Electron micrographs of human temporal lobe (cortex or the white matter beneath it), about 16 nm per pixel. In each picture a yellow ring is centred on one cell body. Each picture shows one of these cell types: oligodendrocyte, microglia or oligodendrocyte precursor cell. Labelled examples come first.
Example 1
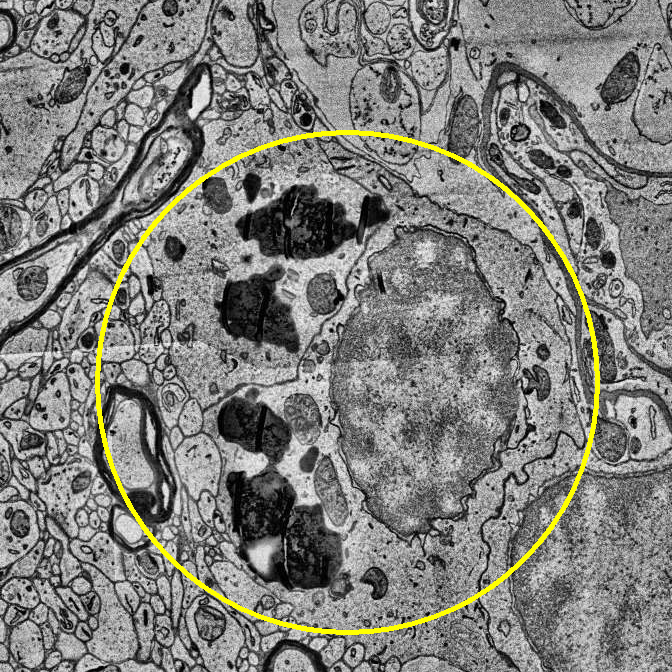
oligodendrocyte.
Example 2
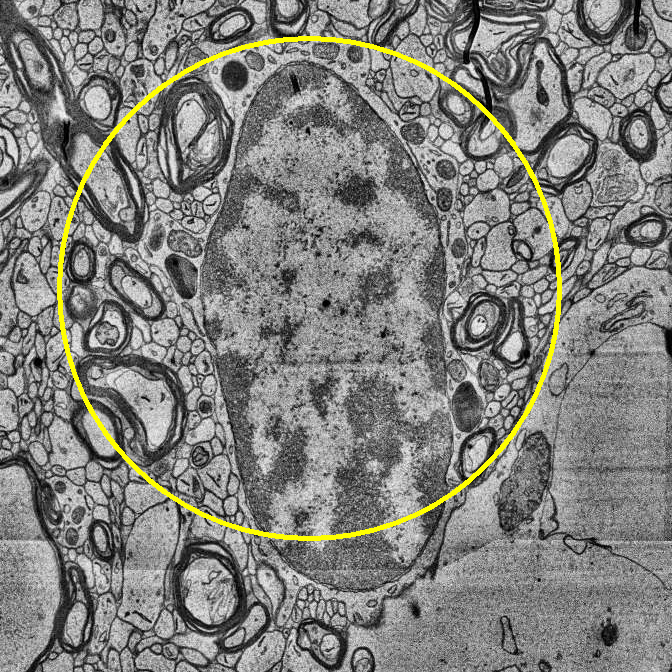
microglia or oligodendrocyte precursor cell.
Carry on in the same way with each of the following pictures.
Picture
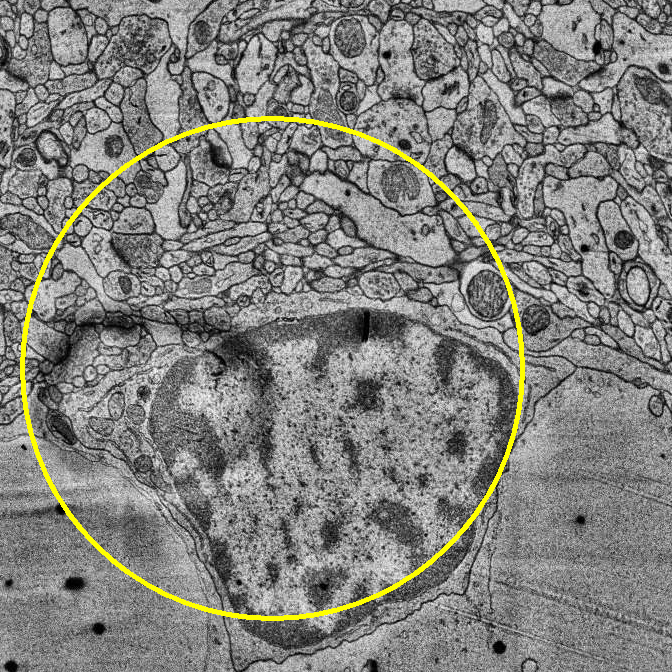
microglia or oligodendrocyte precursor cell.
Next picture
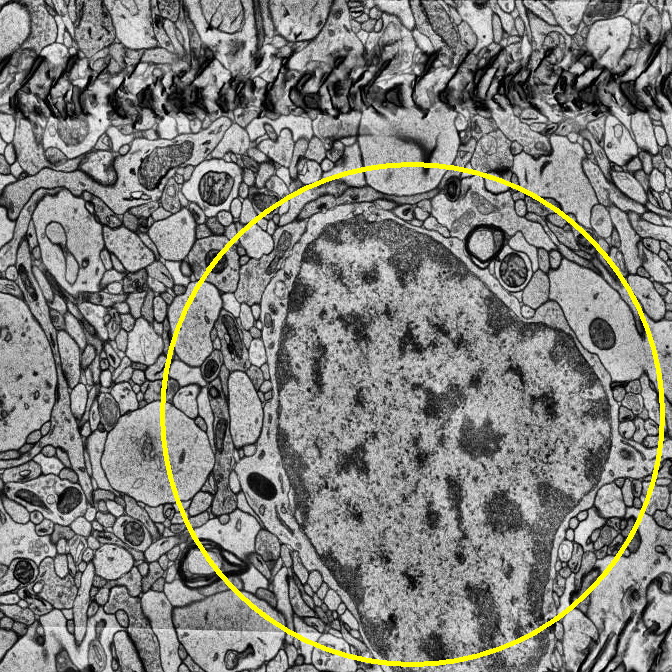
microglia or oligodendrocyte precursor cell.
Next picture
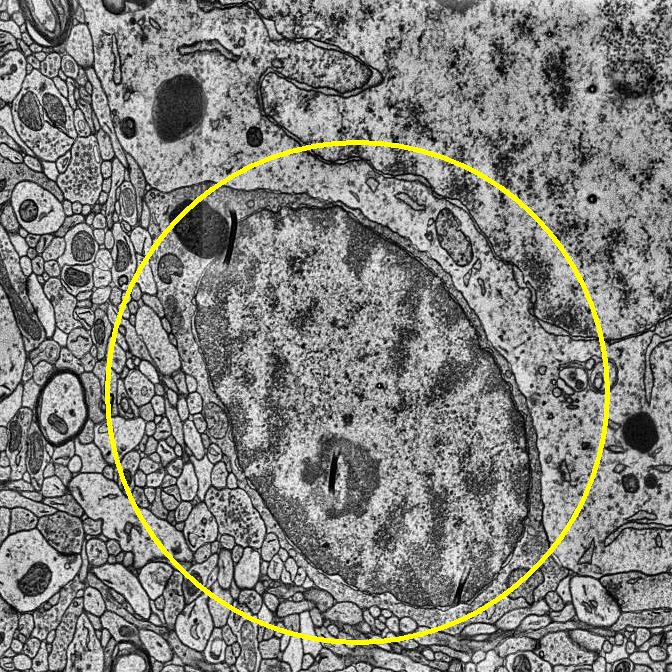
oligodendrocyte.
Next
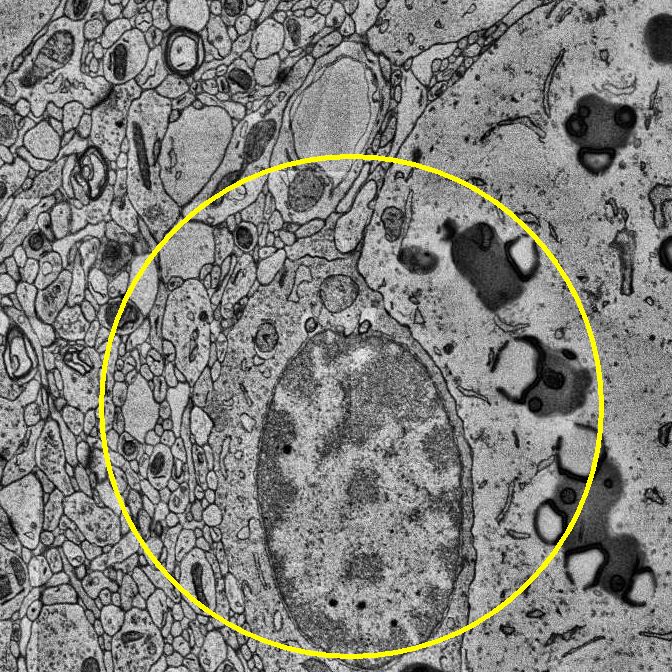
oligodendrocyte.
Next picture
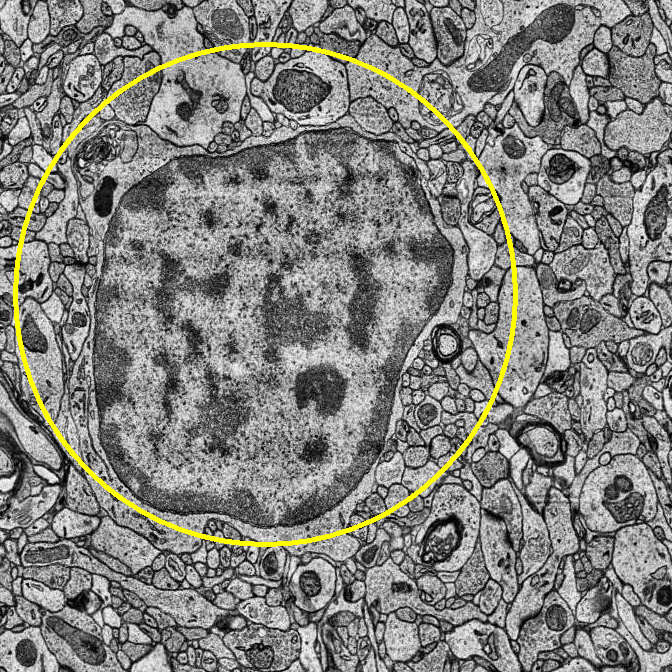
microglia or oligodendrocyte precursor cell.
